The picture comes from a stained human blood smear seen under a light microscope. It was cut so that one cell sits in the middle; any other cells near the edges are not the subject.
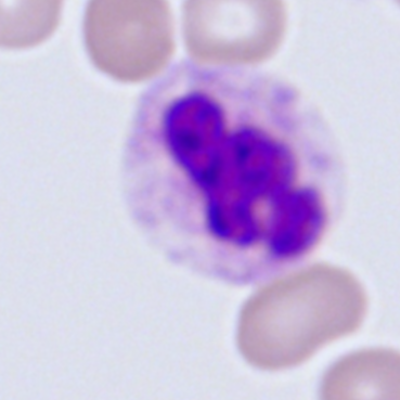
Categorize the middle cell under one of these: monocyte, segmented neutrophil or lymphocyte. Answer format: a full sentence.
The cell around which this crop is centred is a segmented neutrophil.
